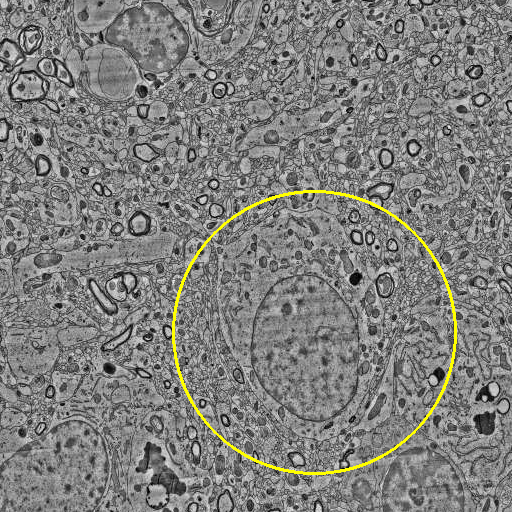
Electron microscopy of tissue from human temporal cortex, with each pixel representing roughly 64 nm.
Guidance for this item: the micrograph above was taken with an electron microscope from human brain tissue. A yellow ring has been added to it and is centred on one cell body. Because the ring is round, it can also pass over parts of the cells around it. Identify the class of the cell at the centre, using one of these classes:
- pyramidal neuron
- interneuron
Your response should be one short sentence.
The ring surrounds the body of an interneuron.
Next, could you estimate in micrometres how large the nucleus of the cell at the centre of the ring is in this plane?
The nucleus works out at approximately 9 by 7 micrometres in this plane.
